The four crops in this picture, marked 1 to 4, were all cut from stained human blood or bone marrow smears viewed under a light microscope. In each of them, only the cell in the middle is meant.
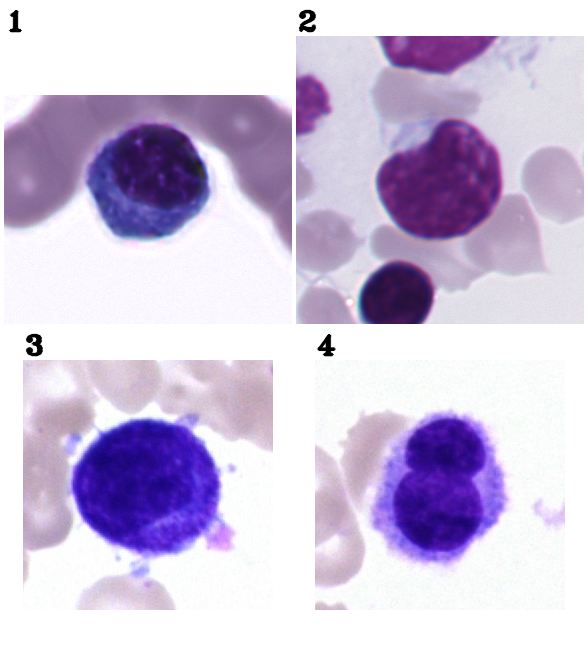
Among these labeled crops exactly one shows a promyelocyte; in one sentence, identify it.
Within this set, crop 3 is the one with a promyelocyte at its center.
